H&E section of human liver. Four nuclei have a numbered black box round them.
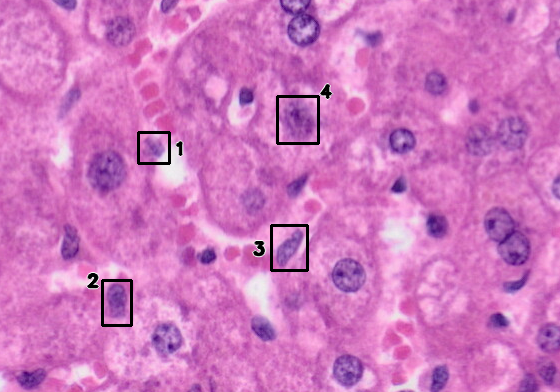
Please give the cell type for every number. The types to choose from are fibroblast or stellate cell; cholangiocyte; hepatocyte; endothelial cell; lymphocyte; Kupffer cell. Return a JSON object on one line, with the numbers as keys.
{"1": "endothelial cell", "2": "Kupffer cell", "3": "Kupffer cell", "4": "hepatocyte"}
